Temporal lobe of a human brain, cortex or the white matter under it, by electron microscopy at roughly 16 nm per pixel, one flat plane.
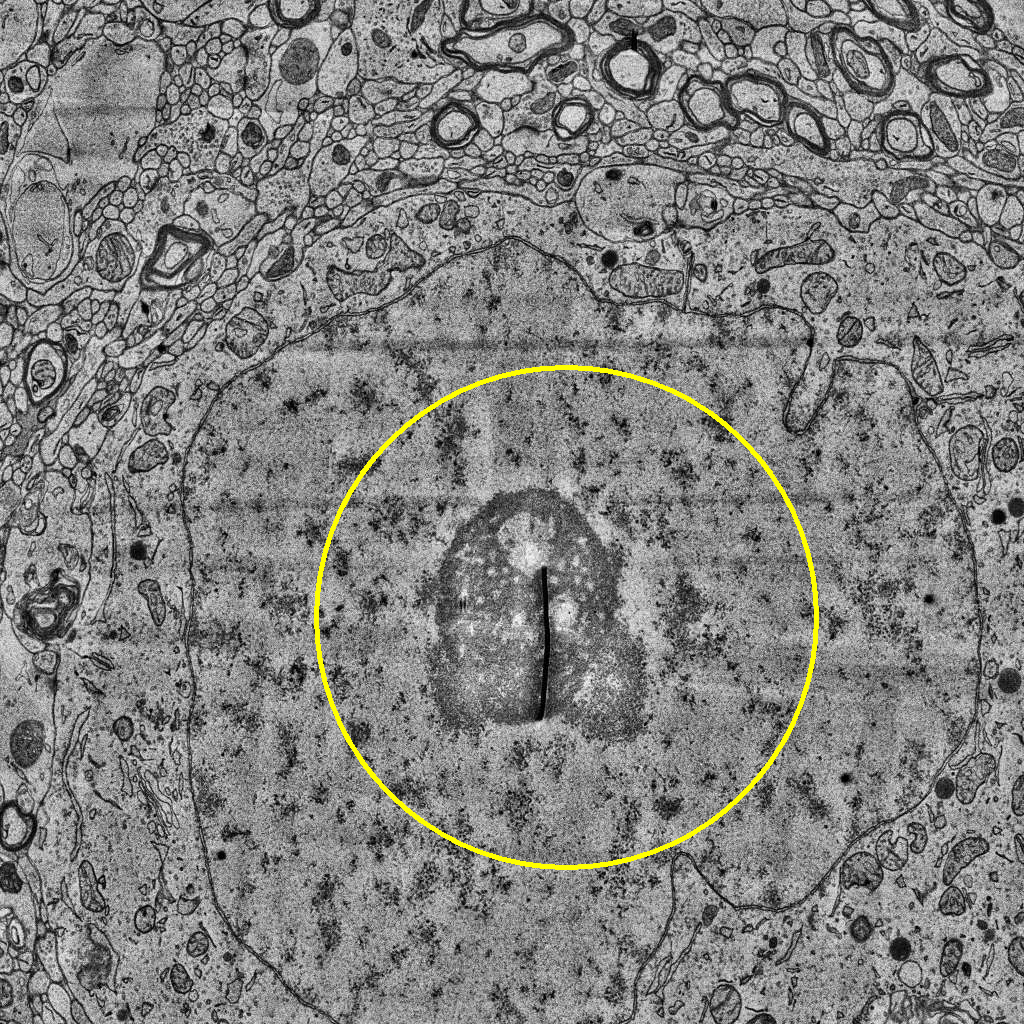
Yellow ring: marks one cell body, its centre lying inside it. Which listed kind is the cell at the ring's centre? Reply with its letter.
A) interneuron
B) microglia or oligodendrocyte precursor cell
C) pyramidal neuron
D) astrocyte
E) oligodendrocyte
C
